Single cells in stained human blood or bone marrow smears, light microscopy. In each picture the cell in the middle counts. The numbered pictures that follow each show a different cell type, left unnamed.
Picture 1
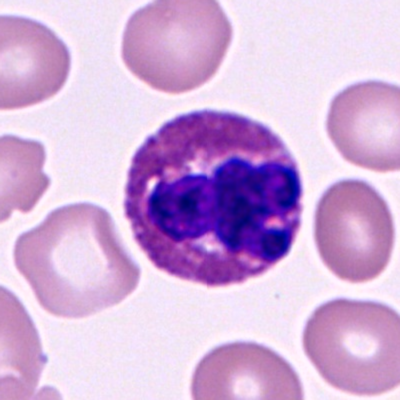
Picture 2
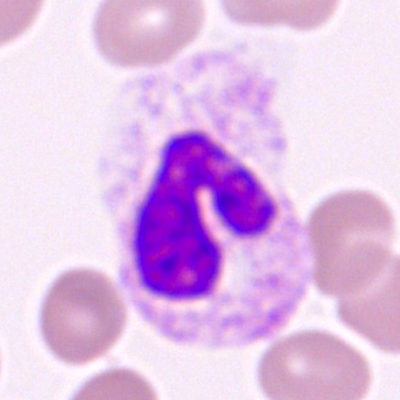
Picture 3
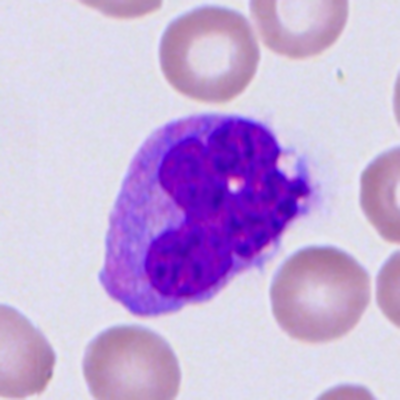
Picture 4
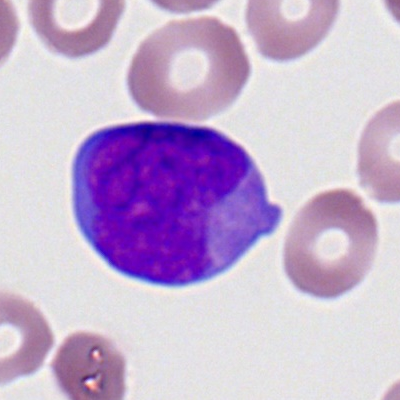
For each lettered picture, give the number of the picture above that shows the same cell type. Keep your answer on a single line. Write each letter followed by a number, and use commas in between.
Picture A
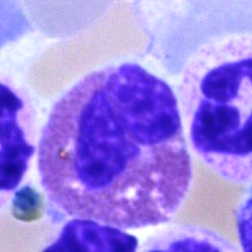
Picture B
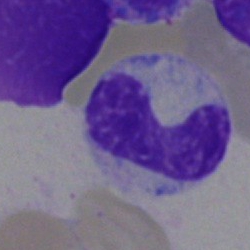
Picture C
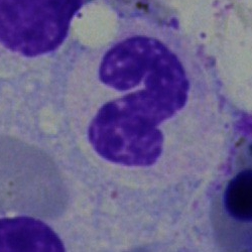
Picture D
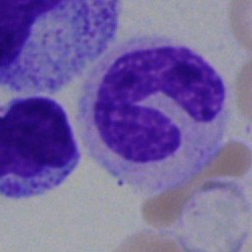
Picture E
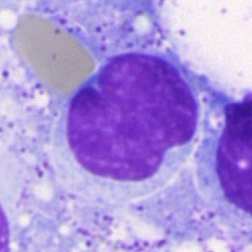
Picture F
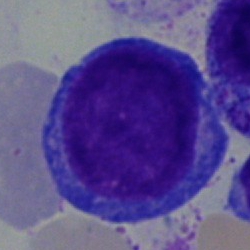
A 1, B 2, C 2, D 2, E 4, F 4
